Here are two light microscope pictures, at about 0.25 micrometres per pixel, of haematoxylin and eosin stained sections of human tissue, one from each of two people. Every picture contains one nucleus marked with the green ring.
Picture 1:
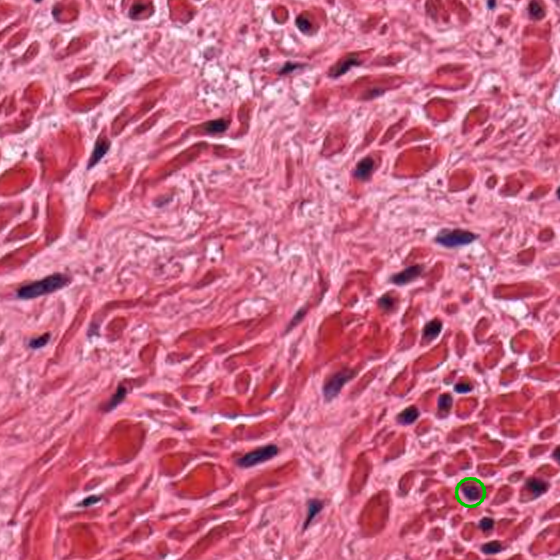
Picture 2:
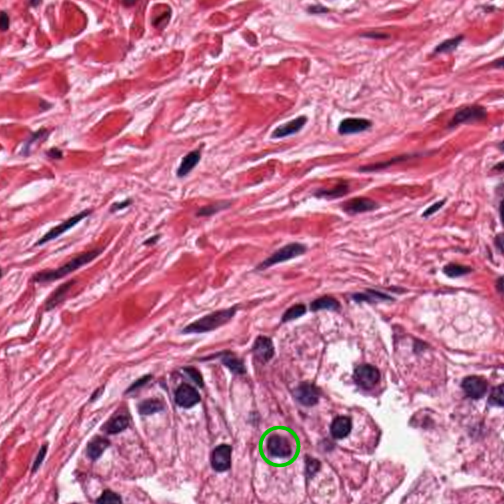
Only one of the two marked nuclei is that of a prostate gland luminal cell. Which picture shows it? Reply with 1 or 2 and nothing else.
2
